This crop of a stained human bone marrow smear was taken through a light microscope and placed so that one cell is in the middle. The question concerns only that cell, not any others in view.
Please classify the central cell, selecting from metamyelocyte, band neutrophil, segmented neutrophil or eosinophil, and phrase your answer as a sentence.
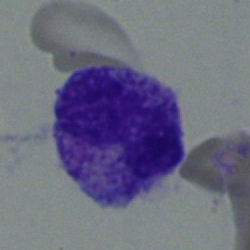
As for the central cell, it is a metamyelocyte.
